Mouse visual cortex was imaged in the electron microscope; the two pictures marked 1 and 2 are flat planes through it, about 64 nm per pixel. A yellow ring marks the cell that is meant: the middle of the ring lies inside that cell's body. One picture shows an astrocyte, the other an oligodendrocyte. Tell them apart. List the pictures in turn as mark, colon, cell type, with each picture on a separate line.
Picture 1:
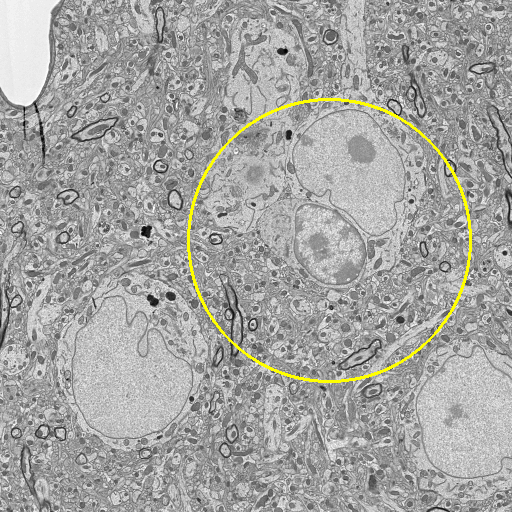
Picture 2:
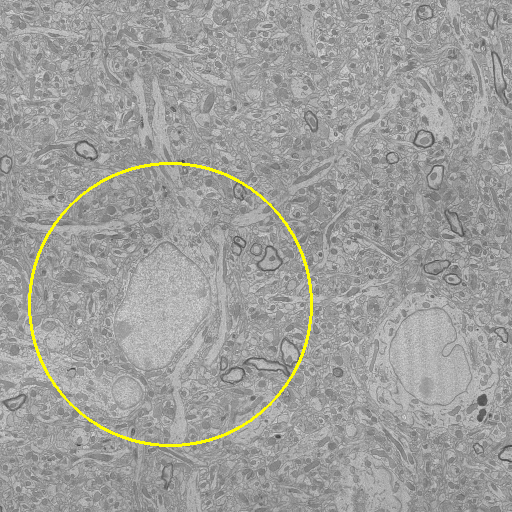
1: oligodendrocyte
2: astrocyte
